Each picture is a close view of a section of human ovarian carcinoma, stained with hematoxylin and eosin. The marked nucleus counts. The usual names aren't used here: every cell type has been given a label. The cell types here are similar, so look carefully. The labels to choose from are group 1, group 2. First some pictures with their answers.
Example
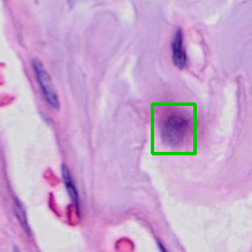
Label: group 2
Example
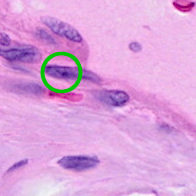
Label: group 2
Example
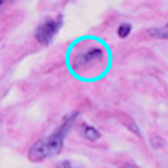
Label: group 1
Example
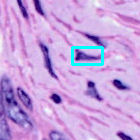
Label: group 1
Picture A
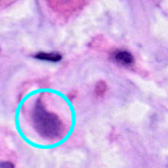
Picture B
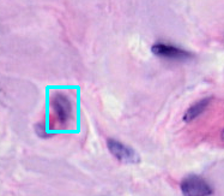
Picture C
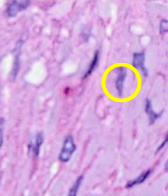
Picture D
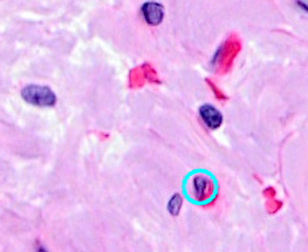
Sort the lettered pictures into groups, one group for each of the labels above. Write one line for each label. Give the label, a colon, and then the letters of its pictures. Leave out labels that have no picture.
group 1: C
group 2: A, B, D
